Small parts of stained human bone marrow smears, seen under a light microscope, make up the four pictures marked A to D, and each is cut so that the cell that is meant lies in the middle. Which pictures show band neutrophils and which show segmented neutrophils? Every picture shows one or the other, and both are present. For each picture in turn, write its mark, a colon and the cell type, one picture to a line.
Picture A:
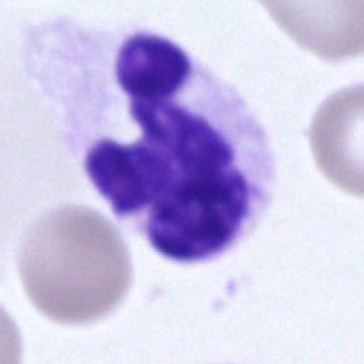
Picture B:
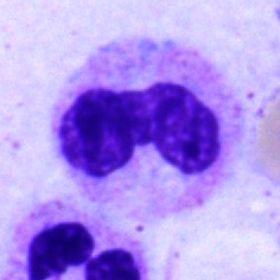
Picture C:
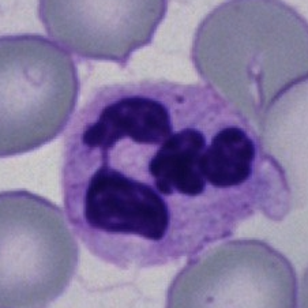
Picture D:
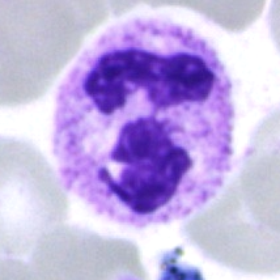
A: segmented neutrophil
B: band neutrophil
C: segmented neutrophil
D: segmented neutrophil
